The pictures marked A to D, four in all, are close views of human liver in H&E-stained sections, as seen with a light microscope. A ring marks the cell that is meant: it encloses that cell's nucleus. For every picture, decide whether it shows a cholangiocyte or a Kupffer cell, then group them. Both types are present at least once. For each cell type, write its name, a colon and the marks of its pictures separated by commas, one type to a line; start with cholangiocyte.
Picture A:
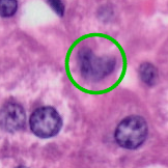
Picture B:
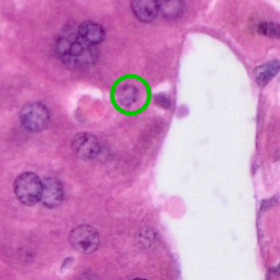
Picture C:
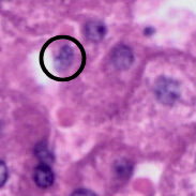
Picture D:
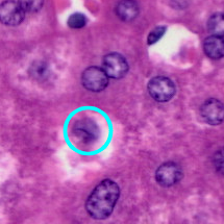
cholangiocyte: B
Kupffer cell: A, C, D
